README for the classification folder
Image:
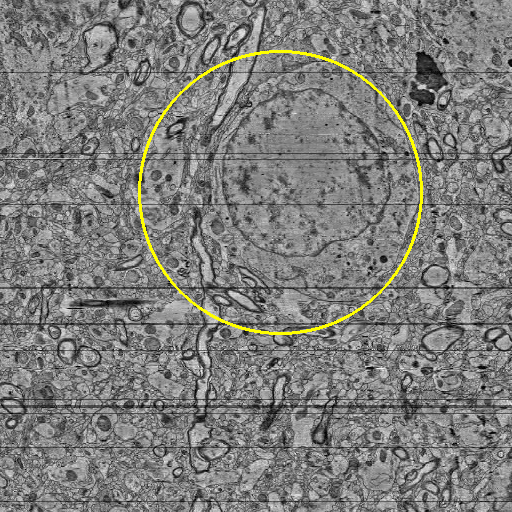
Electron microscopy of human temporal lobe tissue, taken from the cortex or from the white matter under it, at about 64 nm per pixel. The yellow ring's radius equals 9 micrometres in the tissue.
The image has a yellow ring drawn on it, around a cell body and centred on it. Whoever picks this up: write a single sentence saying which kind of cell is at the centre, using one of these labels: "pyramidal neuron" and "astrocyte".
This cell body is that of a pyramidal neuron.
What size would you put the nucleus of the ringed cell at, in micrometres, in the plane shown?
The nucleus is approximately 11 micrometers across in this plane.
